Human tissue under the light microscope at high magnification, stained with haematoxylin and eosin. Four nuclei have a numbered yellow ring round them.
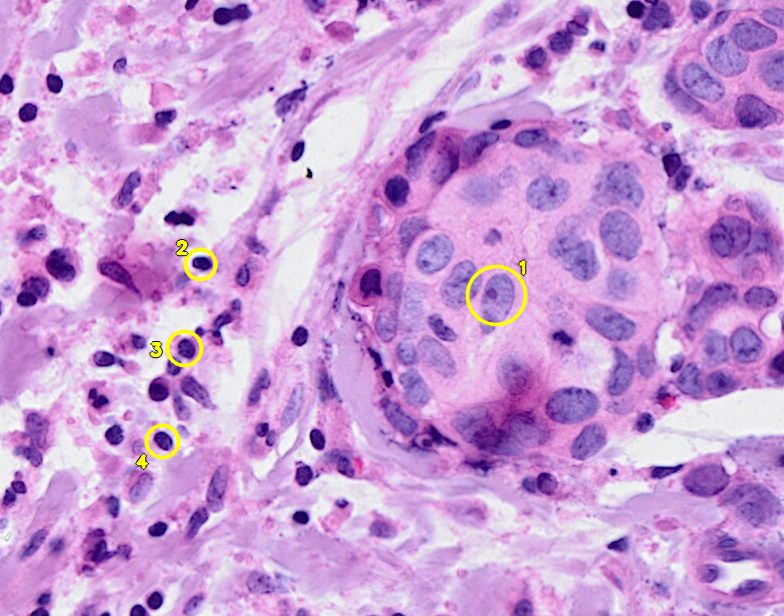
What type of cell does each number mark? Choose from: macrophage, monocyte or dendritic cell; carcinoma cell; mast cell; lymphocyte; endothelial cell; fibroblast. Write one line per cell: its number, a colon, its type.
1: carcinoma cell
2: lymphocyte
3: lymphocyte
4: lymphocyte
